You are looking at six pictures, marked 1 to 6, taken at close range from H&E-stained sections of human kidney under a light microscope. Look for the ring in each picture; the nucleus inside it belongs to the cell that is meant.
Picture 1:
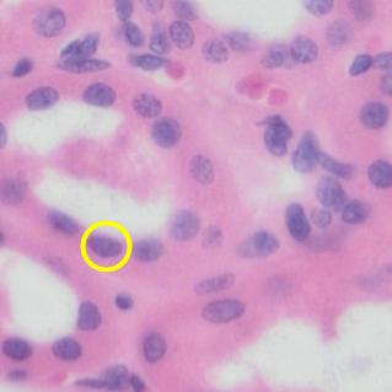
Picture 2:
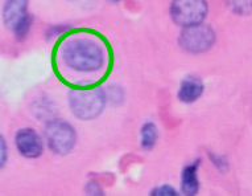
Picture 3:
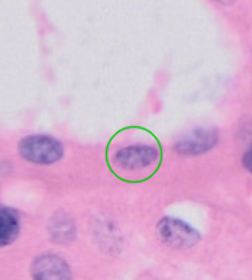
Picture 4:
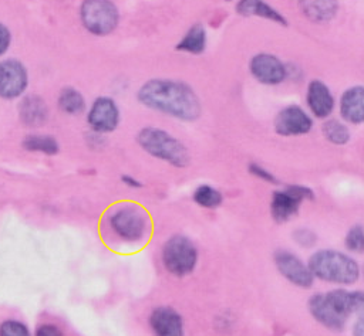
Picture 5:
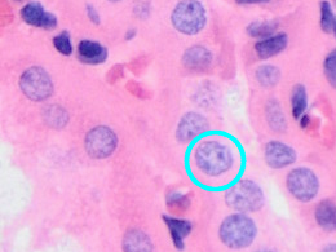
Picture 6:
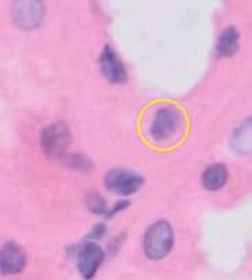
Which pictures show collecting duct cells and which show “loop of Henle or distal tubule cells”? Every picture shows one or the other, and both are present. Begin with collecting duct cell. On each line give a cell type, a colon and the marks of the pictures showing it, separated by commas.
collecting duct cell: 2, 5
loop of Henle or distal tubule cell: 1, 3, 4, 6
